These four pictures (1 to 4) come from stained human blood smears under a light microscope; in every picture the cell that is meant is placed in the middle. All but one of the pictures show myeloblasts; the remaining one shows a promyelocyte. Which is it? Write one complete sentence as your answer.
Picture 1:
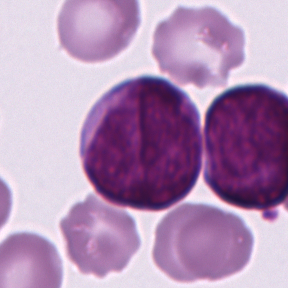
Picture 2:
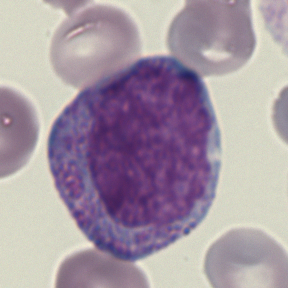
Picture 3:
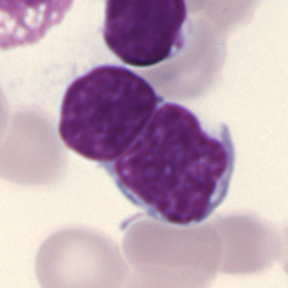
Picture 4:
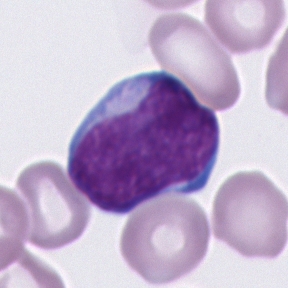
It is picture 2 that shows the promyelocyte.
